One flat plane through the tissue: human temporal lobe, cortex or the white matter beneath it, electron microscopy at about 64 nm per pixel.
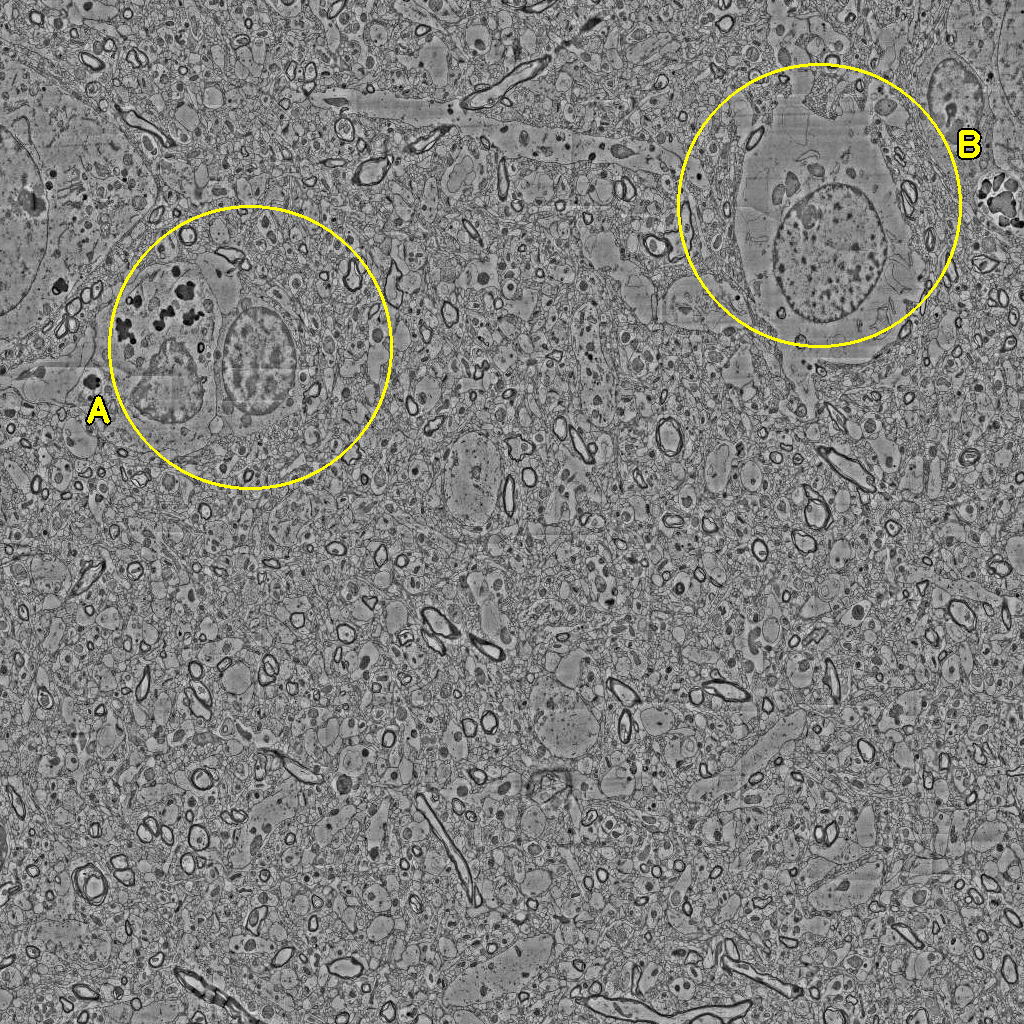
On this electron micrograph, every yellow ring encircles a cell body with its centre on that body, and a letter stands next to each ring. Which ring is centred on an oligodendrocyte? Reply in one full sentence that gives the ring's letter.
Ring A is the ring that has the cell asked for in its centre.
